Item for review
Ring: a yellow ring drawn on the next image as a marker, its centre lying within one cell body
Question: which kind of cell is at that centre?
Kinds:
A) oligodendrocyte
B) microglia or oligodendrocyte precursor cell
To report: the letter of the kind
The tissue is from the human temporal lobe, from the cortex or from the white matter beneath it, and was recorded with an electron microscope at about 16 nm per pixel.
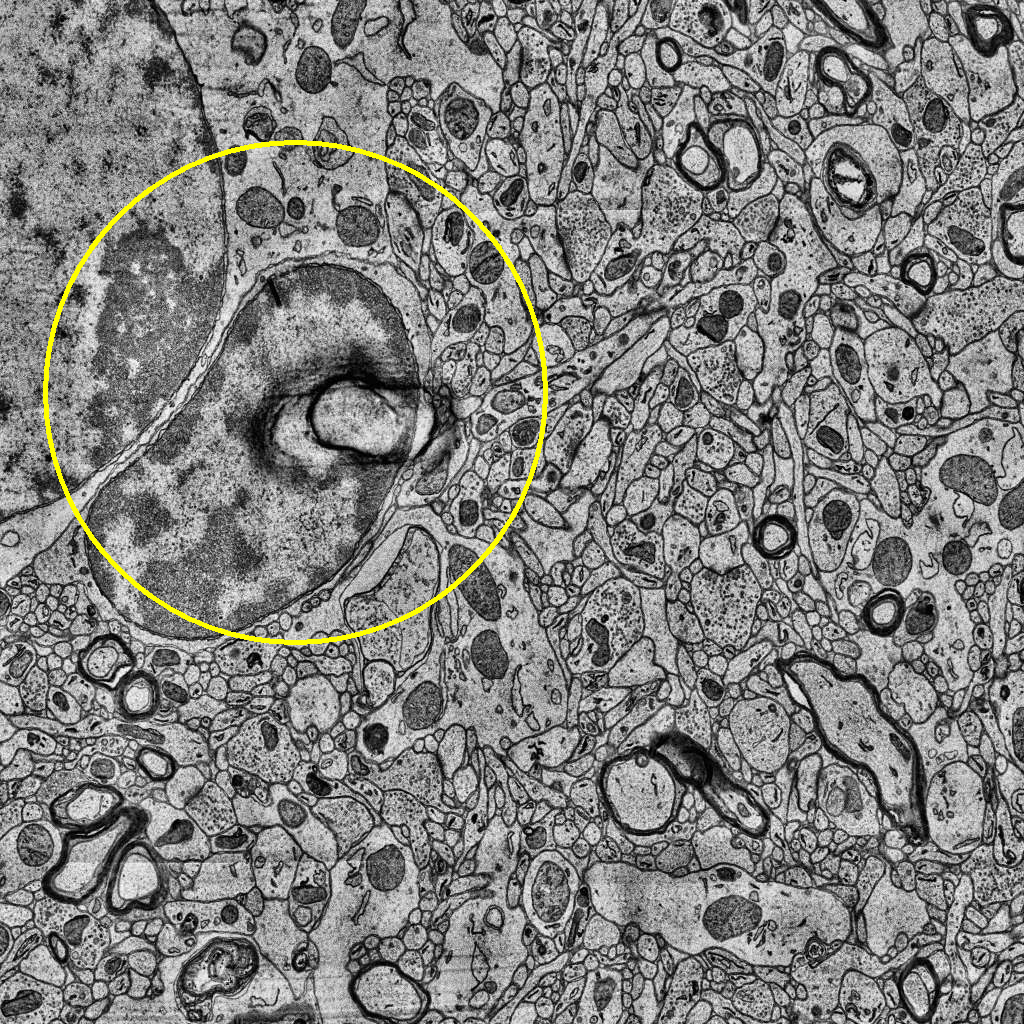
B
